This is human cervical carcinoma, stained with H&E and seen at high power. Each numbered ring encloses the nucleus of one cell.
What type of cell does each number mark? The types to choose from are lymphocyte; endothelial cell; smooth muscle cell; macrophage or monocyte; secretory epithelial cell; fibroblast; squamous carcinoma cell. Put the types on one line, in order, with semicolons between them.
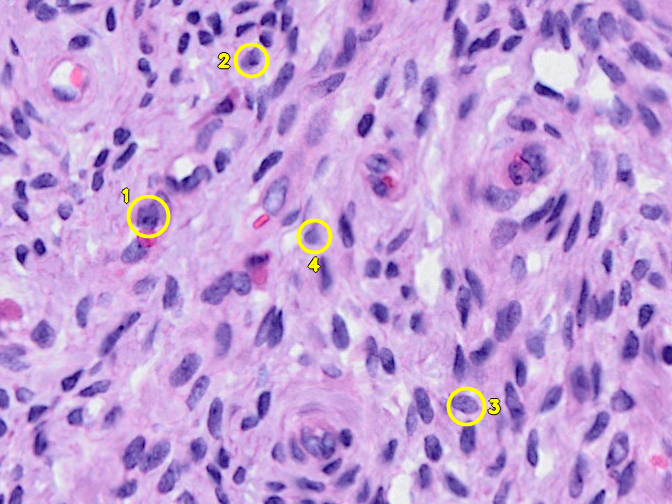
endothelial cell; fibroblast; fibroblast; fibroblast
